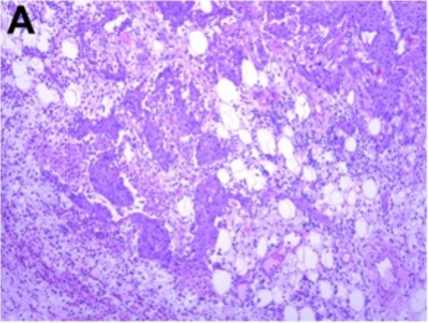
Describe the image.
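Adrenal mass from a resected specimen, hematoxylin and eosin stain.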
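Round, empty, clear vacuoles of fat cells of varying size are scattered across the center of the field. Between them lie irregular nests and cords of crowded cells with dark purple nuclei and pinker cytoplasm, with looser, paler spindle-cell tissue toward the lower left. The fat is broken up and surrounded by these cell clusters rather than forming an intact lobule. This is adipose tissue infiltrated by tumor cells.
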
